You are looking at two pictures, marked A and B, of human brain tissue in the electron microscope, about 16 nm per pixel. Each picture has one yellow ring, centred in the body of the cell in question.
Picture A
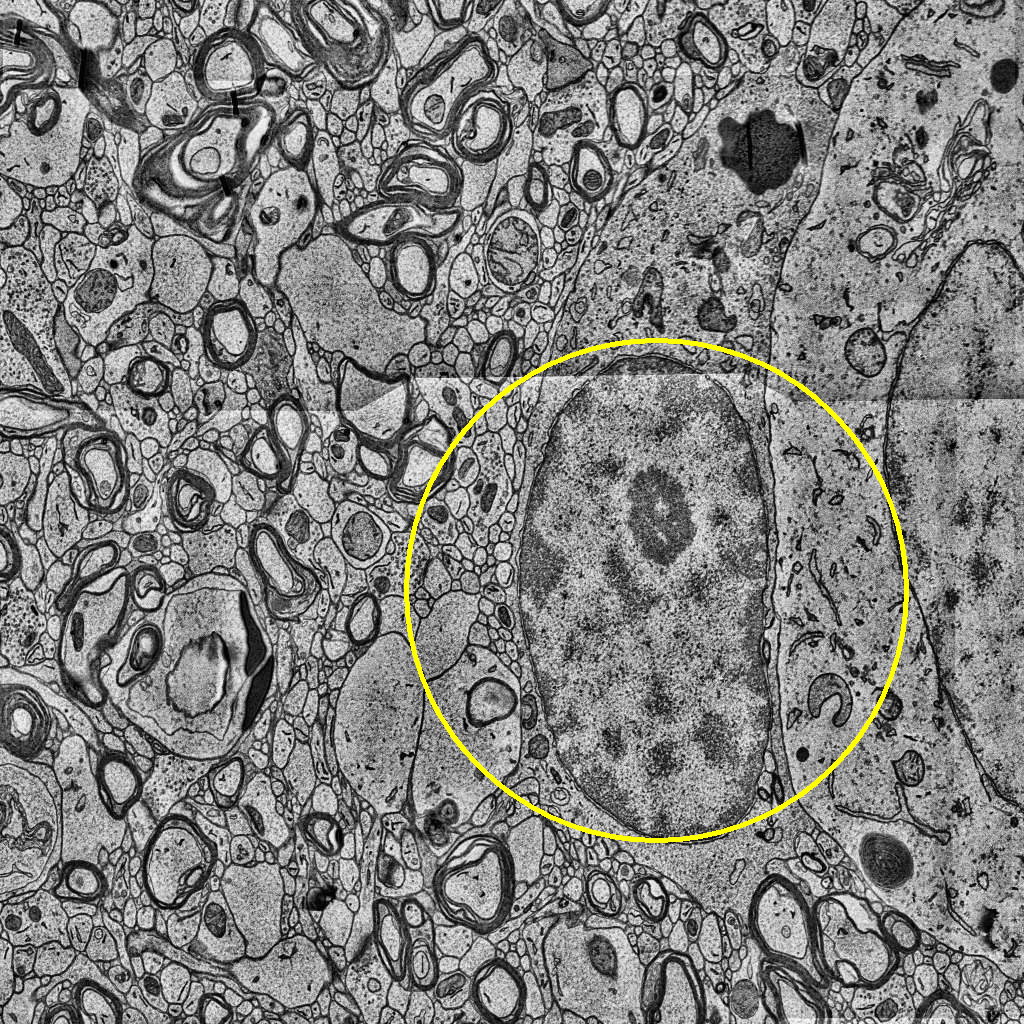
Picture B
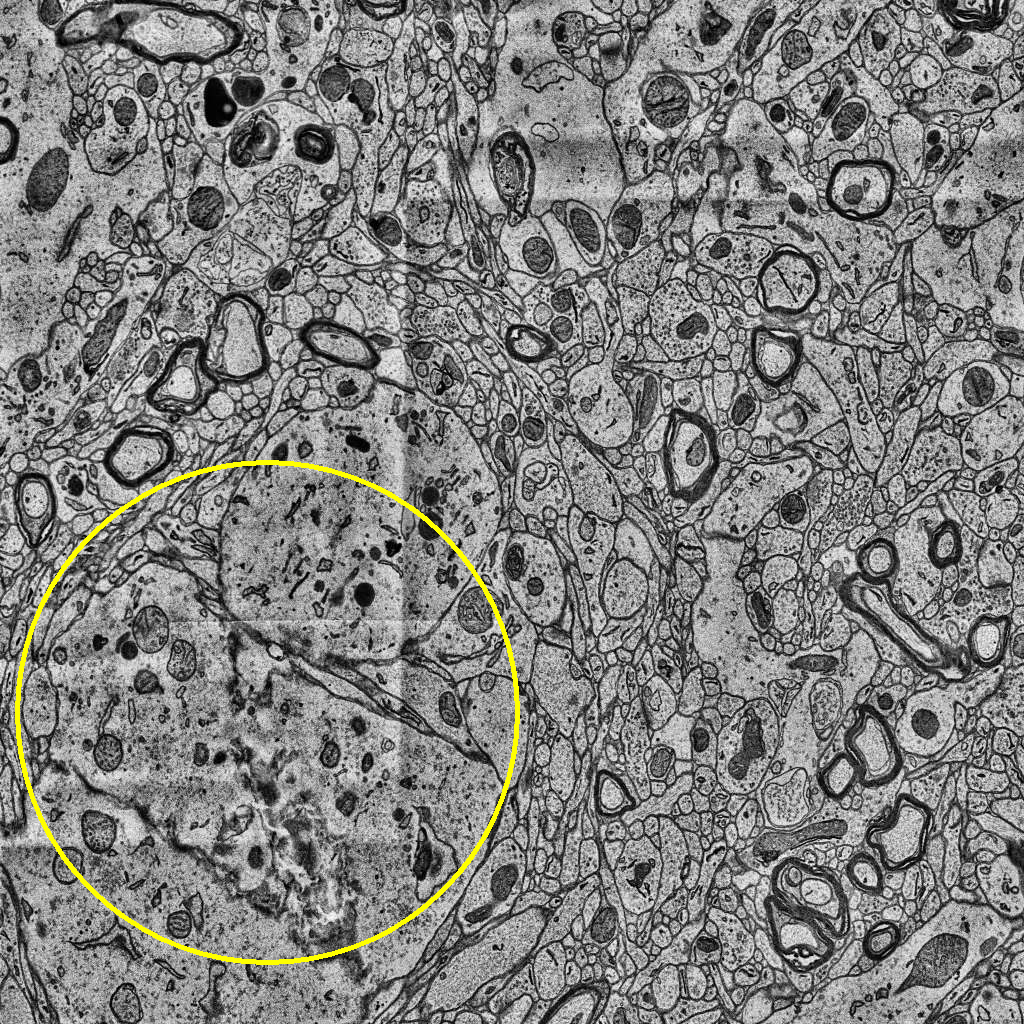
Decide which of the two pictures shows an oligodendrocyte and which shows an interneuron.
Picture A shows an oligodendrocyte and picture B shows an interneuron.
